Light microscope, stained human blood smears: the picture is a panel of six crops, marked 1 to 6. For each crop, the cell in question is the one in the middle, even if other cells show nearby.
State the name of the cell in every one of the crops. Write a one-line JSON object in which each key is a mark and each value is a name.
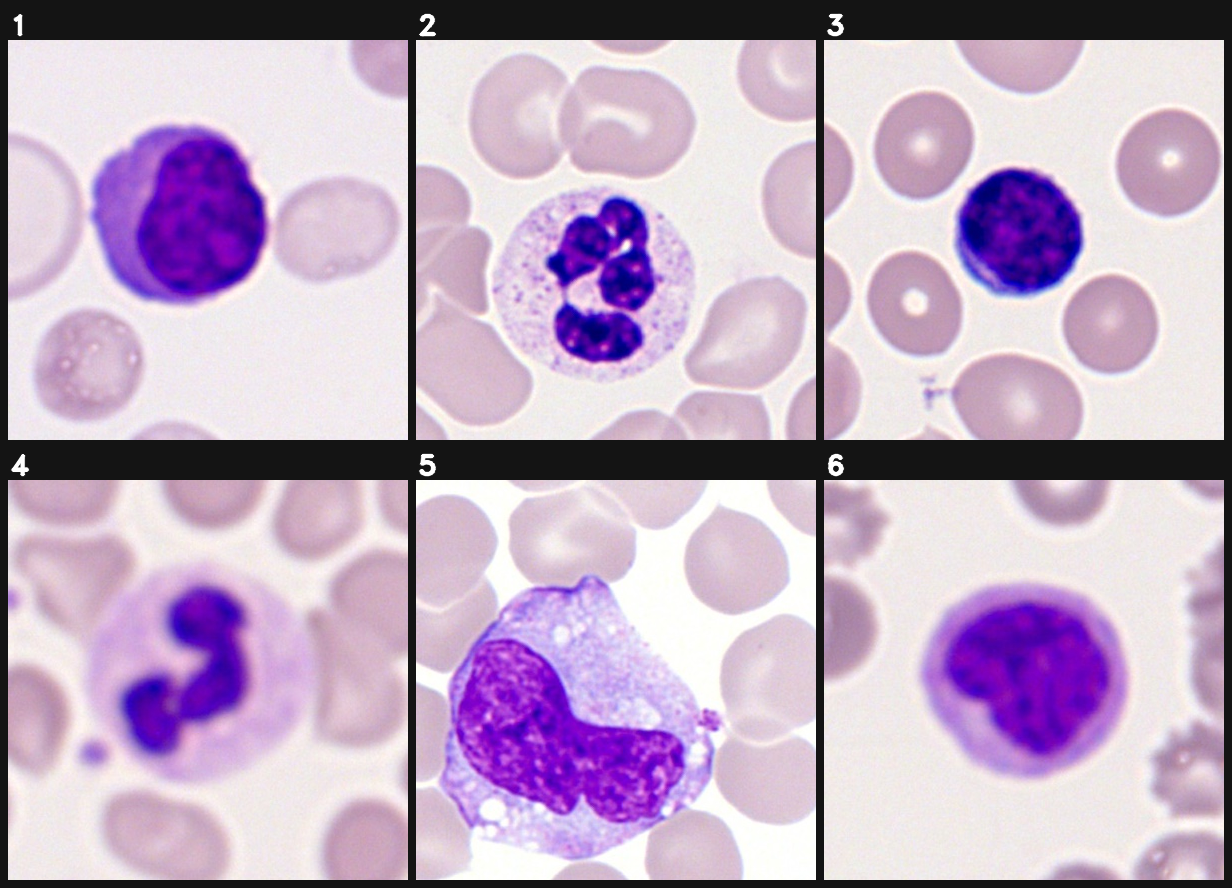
{"1": "lymphocyte", "2": "segmented neutrophil", "3": "lymphocyte", "4": "segmented neutrophil", "5": "monocyte", "6": "monocyte"}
